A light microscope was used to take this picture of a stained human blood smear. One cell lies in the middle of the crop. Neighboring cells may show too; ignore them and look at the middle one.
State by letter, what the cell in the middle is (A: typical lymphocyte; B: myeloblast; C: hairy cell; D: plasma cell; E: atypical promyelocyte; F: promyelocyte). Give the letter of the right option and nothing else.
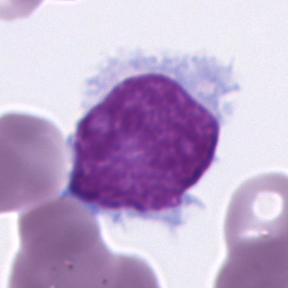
C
